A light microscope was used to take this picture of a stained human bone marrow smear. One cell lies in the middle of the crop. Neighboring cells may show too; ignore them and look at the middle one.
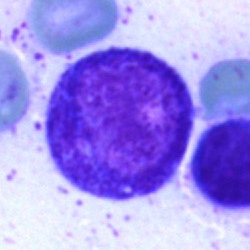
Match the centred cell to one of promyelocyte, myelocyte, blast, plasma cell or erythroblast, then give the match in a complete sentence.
As for the central cell, it is a promyelocyte.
